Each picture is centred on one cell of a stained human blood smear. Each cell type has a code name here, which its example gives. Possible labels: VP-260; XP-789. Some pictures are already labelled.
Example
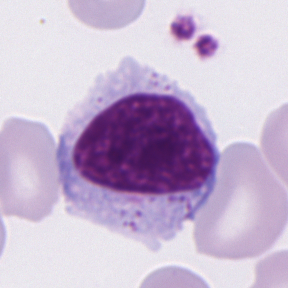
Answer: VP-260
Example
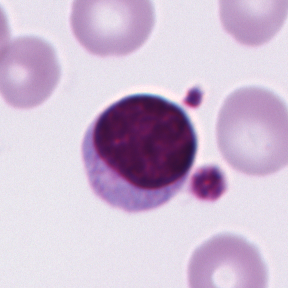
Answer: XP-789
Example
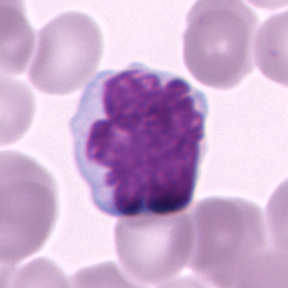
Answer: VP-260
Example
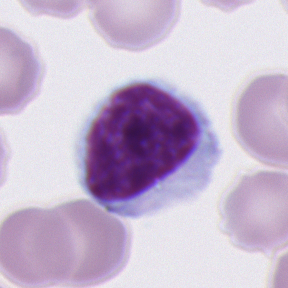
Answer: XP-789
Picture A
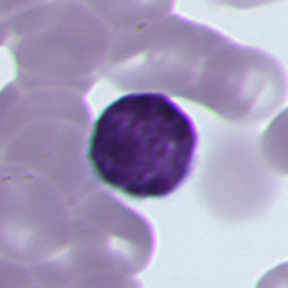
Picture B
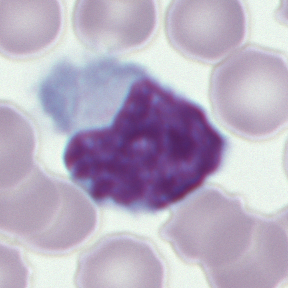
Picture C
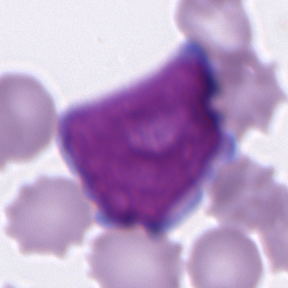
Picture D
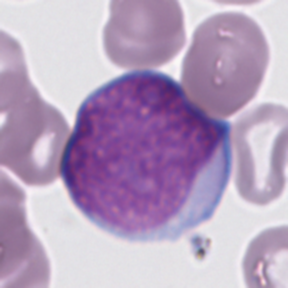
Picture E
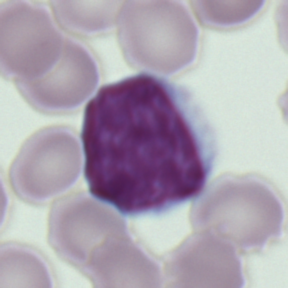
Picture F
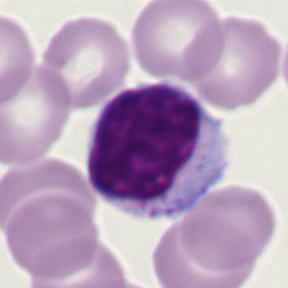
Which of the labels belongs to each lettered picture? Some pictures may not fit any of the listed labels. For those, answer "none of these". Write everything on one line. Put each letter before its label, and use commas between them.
A XP-789, B XP-789, C none of these, D none of these, E XP-789, F XP-789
